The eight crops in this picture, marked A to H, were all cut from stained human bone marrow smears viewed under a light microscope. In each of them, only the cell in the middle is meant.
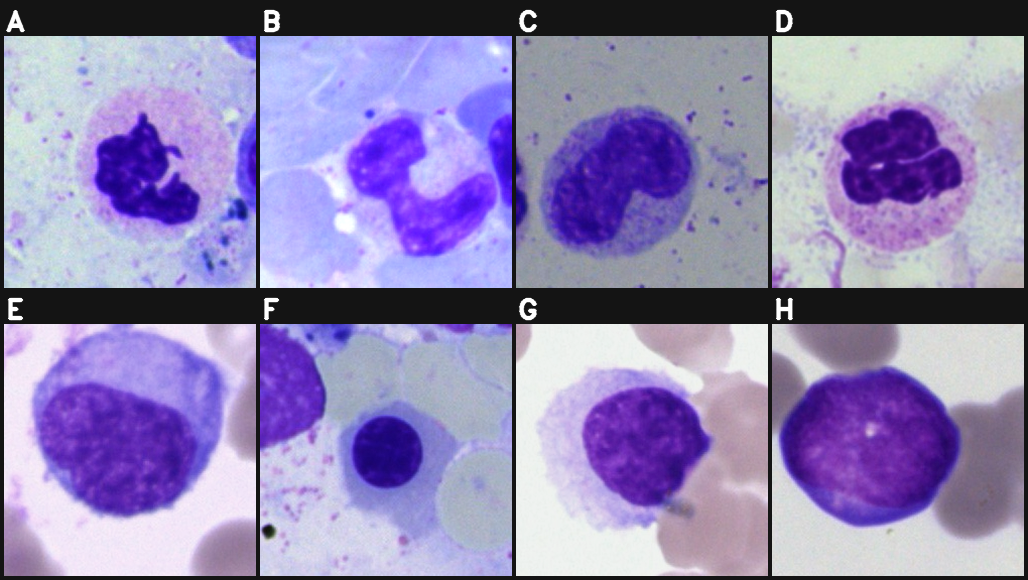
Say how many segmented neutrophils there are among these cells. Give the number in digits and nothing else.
2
